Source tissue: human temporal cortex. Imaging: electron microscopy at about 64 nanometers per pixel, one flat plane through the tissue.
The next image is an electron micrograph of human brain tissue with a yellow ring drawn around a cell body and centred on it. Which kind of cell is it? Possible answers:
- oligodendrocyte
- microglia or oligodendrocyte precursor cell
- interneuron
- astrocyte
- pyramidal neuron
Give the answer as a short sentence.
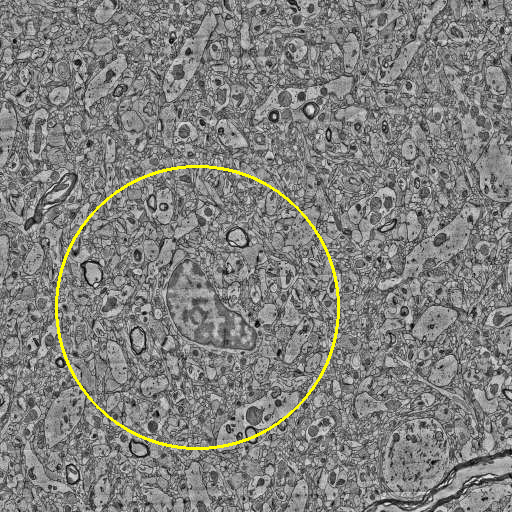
In the ring's centre is a microglial cell or oligodendrocyte precursor cell.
